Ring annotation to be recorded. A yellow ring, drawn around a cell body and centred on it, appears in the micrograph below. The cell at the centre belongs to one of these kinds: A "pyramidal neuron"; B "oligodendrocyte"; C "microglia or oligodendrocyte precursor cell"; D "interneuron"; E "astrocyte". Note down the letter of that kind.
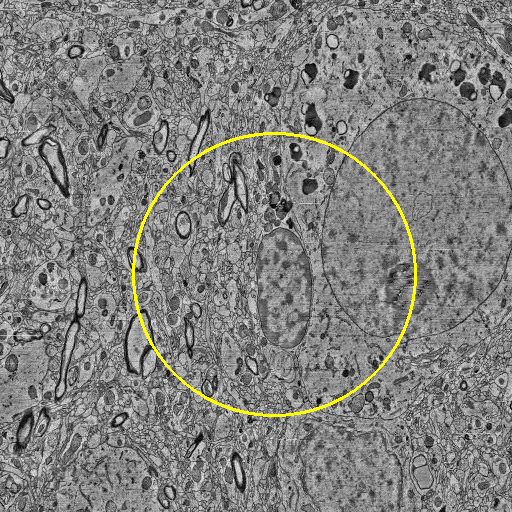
C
